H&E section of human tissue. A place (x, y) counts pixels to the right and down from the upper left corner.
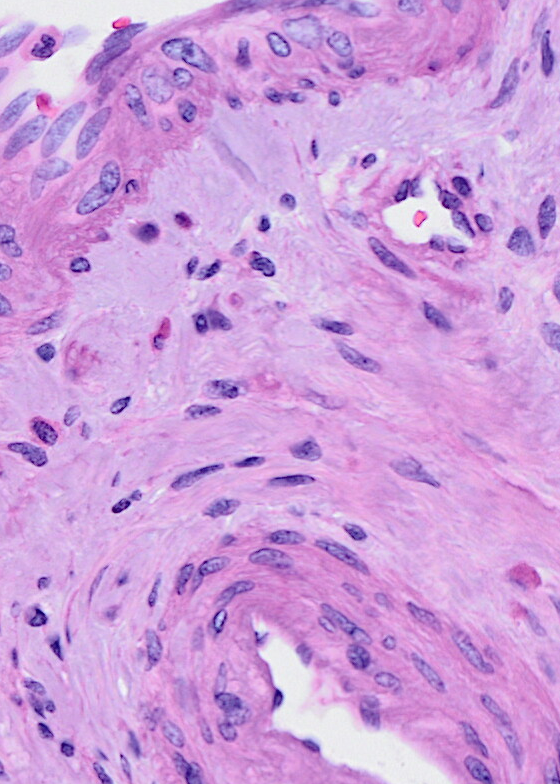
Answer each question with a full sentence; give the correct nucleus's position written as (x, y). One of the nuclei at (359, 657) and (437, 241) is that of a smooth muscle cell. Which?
The one belonging to a smooth muscle cell is the nucleus at (359, 657), not the other.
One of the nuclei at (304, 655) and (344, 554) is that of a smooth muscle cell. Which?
Answering which nucleus it is: the one at (344, 554), belonging to a smooth muscle cell.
